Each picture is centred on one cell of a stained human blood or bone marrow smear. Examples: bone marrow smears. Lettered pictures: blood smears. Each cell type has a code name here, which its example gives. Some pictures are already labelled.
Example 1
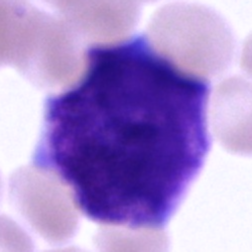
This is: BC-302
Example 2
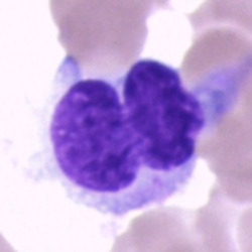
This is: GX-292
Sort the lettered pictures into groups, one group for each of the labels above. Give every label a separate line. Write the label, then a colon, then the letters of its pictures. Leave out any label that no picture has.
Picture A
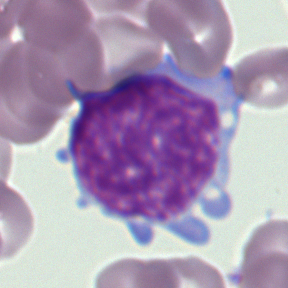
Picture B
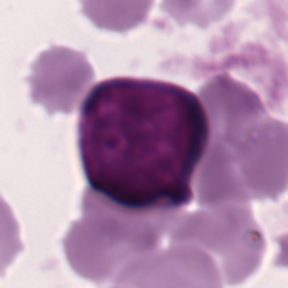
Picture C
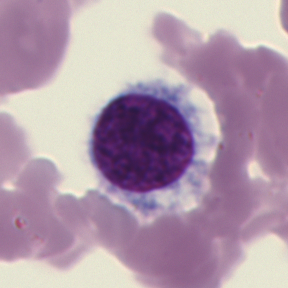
BC-302: A, B
GX-292: C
